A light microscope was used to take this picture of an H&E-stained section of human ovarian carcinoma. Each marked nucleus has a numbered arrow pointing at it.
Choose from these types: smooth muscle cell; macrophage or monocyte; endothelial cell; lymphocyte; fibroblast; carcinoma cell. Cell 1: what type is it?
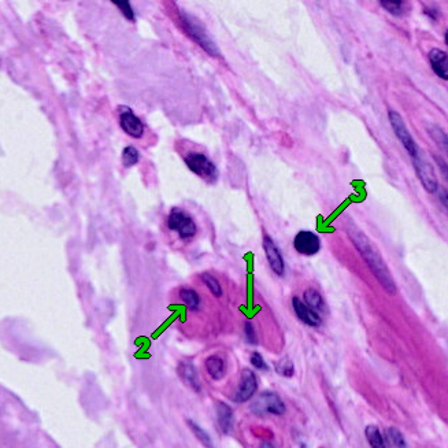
smooth muscle cell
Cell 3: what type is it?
lymphocyte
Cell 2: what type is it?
smooth muscle cell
